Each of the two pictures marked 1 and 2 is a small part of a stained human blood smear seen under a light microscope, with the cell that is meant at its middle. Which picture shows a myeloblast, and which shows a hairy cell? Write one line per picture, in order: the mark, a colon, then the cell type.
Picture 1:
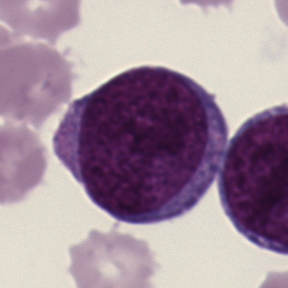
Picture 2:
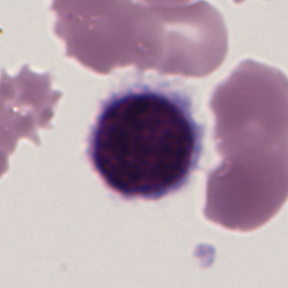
1: myeloblast
2: hairy cell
